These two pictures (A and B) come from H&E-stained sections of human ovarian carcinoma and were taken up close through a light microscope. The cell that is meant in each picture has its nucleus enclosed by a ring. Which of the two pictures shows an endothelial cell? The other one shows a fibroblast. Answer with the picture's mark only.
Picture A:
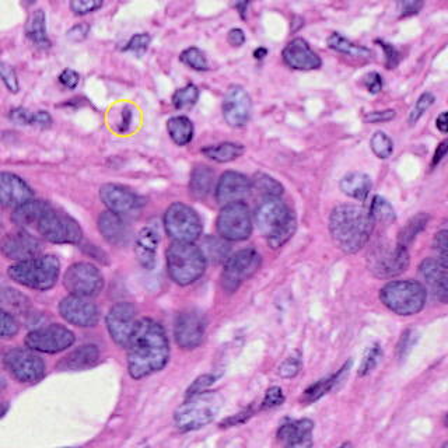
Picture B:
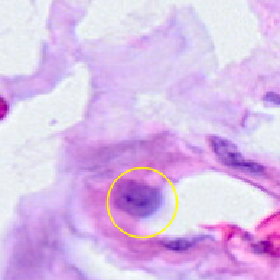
B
